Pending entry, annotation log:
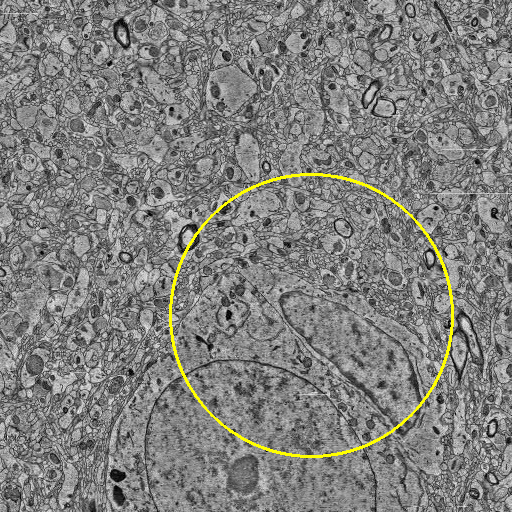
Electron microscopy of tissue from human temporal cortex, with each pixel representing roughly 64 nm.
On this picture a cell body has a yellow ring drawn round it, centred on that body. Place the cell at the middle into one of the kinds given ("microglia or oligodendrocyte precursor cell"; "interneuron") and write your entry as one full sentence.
The cell body at the middle of the yellow ring belongs to a microglial cell or oligodendrocyte precursor cell.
